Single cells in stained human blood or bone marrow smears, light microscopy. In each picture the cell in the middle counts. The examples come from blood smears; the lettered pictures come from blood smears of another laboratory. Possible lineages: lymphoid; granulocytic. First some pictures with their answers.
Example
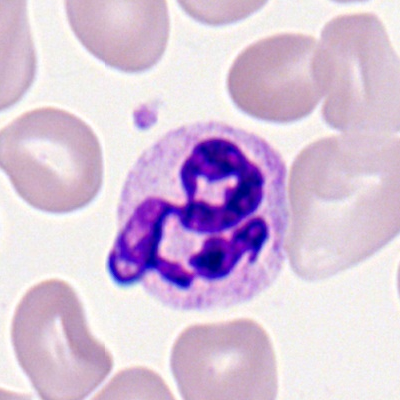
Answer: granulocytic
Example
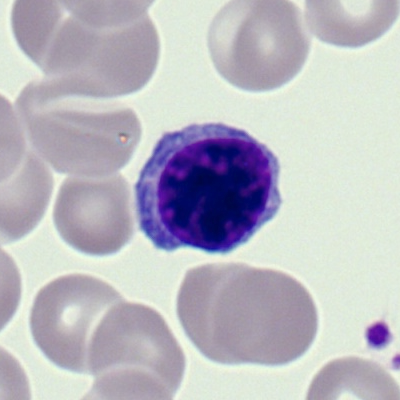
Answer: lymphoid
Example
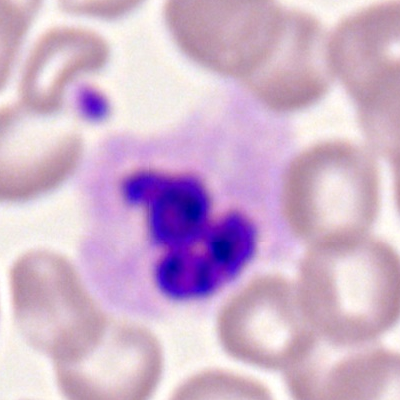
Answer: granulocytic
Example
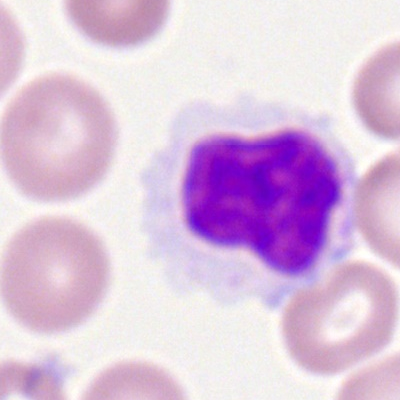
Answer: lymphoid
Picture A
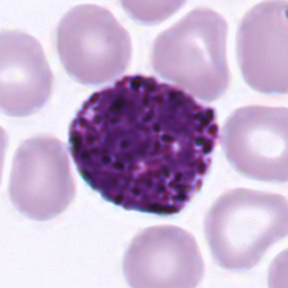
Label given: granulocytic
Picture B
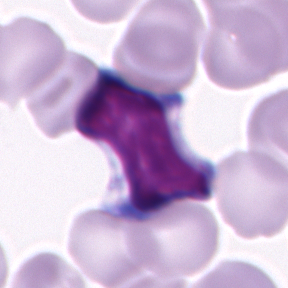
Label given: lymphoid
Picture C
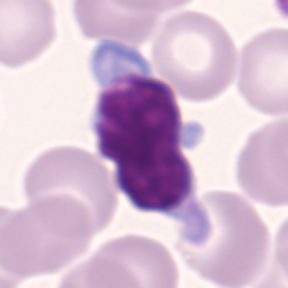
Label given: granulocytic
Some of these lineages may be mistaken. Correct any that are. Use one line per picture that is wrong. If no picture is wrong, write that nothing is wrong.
C is labelled granulocytic; correct label: lymphoid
